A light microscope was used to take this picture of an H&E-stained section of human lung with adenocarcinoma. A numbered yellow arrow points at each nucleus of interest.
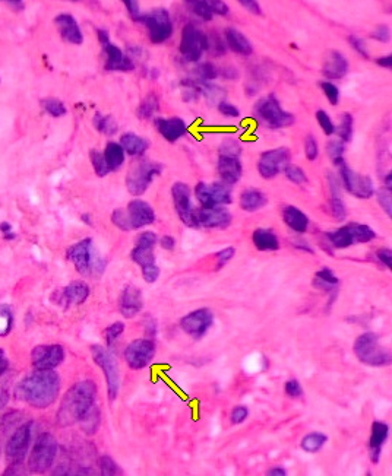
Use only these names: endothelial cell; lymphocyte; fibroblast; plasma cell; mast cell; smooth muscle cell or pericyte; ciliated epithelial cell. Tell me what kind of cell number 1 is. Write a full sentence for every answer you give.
In this section, the cell numbered 1 is a mast cell.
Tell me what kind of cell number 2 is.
The correct answer for cell 2 is a lymphocyte.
